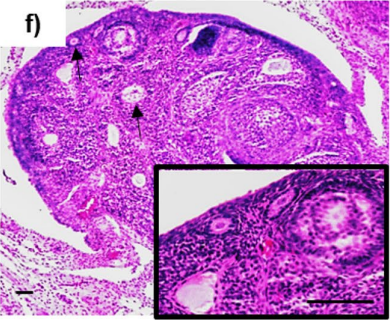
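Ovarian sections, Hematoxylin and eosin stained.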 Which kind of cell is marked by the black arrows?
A: Ovules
